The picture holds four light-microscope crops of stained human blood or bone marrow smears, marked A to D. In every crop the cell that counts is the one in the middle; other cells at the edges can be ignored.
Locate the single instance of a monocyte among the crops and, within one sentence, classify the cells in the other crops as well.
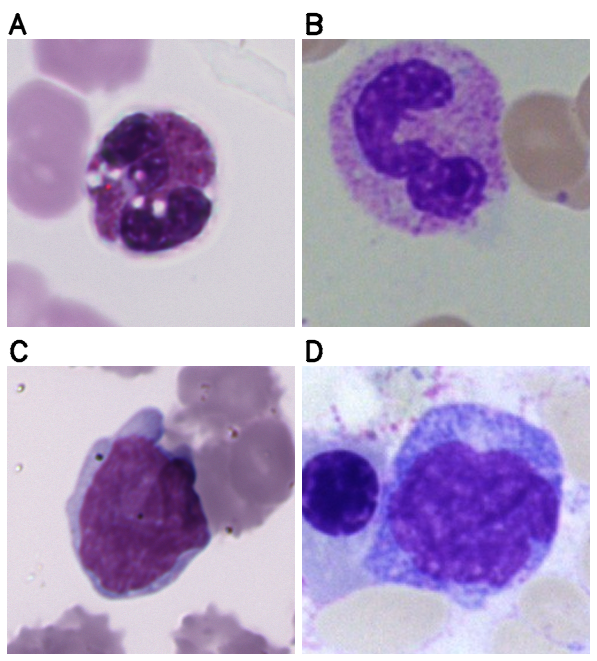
Crop D holds a monocyte at its centre, while crop A is an eosinophil, crop B is a band neutrophil and crop C is a blast.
